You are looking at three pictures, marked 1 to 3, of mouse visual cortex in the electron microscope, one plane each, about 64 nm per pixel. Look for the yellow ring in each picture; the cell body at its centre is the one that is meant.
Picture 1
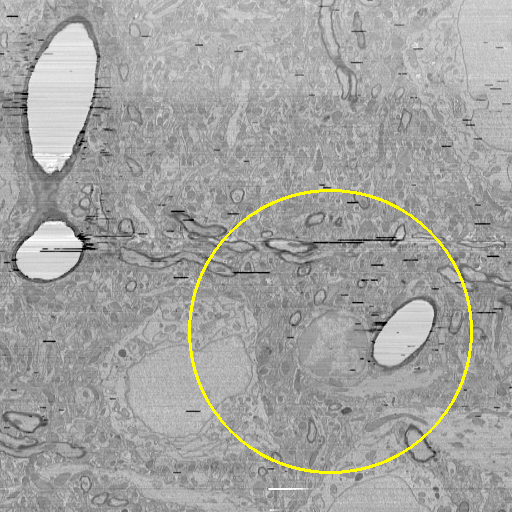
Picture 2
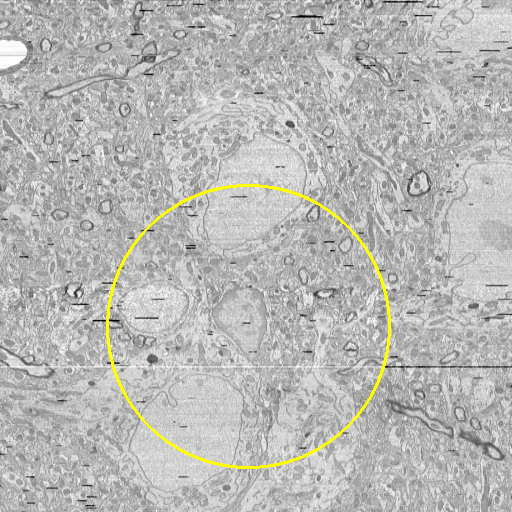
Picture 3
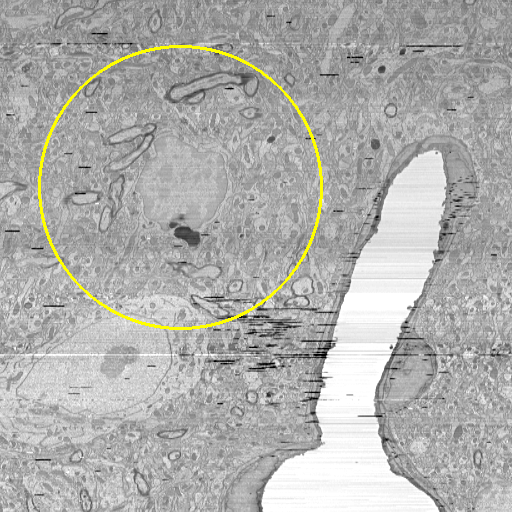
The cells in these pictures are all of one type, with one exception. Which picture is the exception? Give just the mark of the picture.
1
